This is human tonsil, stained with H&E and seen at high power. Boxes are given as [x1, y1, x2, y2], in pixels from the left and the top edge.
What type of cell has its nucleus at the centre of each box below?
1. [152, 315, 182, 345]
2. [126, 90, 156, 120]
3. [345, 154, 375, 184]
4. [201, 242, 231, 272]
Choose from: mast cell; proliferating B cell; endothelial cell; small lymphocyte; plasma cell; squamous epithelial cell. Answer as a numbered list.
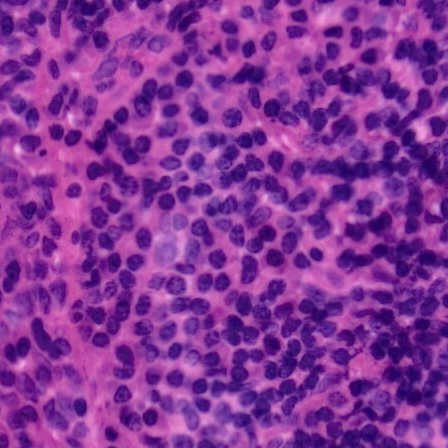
1. plasma cell
2. plasma cell
3. small lymphocyte
4. plasma cell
